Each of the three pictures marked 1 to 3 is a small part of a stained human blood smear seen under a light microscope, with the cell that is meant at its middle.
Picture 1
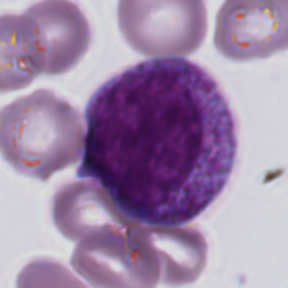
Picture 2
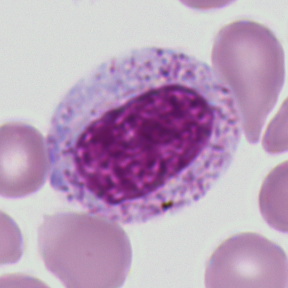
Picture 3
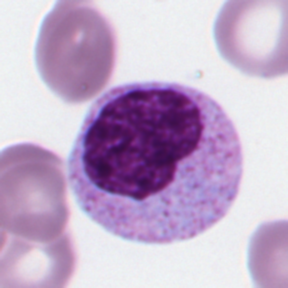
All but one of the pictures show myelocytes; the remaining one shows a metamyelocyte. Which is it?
3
